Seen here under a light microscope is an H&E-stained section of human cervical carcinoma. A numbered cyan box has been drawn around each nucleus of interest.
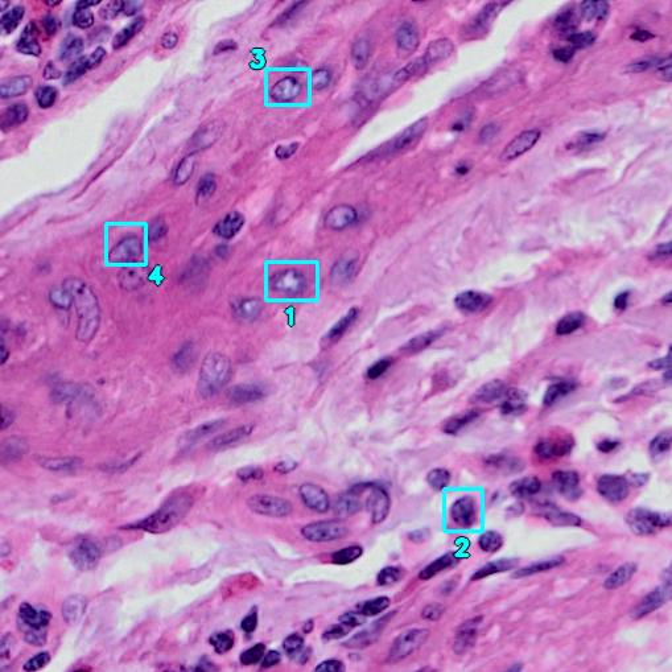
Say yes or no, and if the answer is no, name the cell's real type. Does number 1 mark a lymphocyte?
No, it is a smooth muscle cell.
